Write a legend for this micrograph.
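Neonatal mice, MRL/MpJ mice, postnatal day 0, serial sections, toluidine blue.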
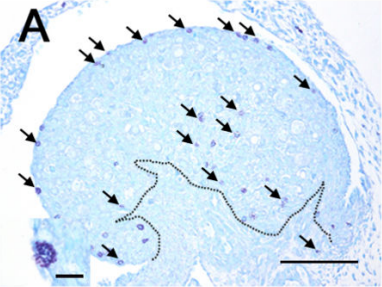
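A cross-section of a rounded ovary stained pale blue, lying in an empty space bordered by a thin sheet of tissue. Many large round cells with pale cytoplasm fill the organ. Scattered among them, and especially near the outer surface, are small cells stained deep purple, pointed to by black arrows. The inset shows one such cell at high power, packed with dark purple granules, consistent with metachromatic mast cells. A dotted line across the lower part marks the border between the outer cortex and the inner medulla.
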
